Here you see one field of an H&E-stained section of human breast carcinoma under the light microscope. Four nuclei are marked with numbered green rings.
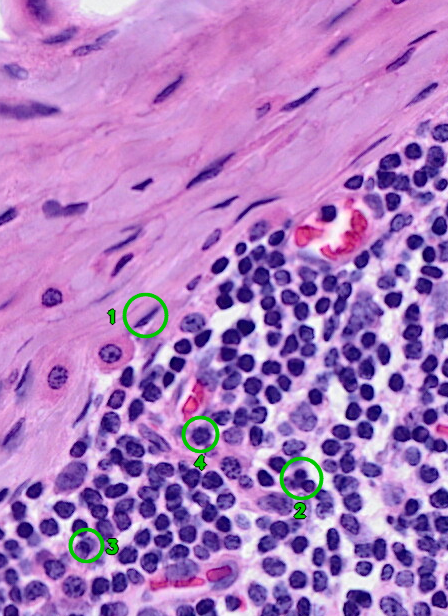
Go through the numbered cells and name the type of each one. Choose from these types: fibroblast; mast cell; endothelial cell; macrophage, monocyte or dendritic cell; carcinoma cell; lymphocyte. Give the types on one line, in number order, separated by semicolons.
fibroblast; lymphocyte; lymphocyte; lymphocyte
